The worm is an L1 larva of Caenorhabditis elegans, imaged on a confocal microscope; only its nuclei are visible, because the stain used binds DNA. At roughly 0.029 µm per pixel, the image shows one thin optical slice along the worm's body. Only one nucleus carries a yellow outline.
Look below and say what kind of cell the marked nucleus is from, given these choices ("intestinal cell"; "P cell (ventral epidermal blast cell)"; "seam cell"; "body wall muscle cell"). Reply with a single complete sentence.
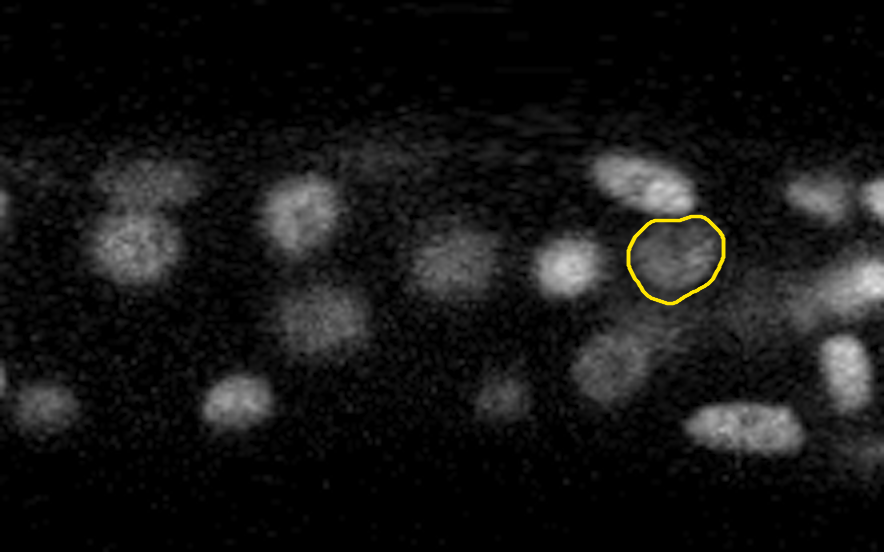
The marked cell is an intestinal cell.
